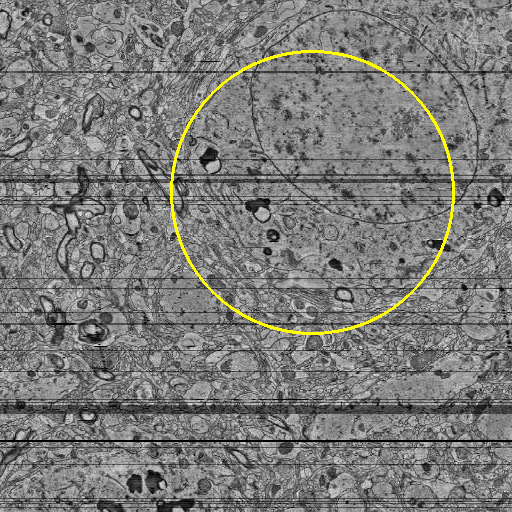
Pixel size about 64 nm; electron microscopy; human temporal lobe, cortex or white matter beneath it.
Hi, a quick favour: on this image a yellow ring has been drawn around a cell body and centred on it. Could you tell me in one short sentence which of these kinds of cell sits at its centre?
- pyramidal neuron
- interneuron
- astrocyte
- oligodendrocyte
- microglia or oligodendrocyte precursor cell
The ring is centred on a pyramidal neuron.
